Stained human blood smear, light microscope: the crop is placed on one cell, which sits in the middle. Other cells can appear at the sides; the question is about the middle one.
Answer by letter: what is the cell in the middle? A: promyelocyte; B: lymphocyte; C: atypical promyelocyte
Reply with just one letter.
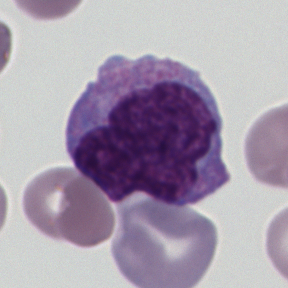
C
